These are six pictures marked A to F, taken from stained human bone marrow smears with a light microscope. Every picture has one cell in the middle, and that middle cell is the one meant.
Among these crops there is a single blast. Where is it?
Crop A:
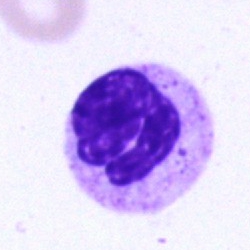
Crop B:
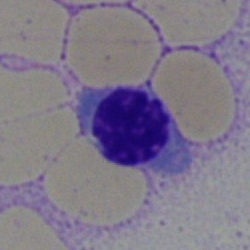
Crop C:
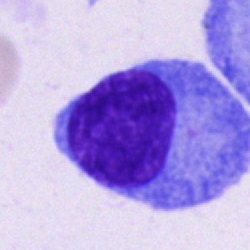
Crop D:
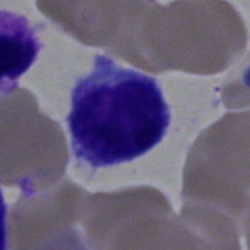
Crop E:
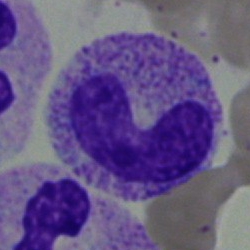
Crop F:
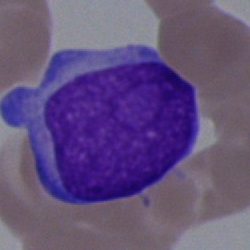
F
